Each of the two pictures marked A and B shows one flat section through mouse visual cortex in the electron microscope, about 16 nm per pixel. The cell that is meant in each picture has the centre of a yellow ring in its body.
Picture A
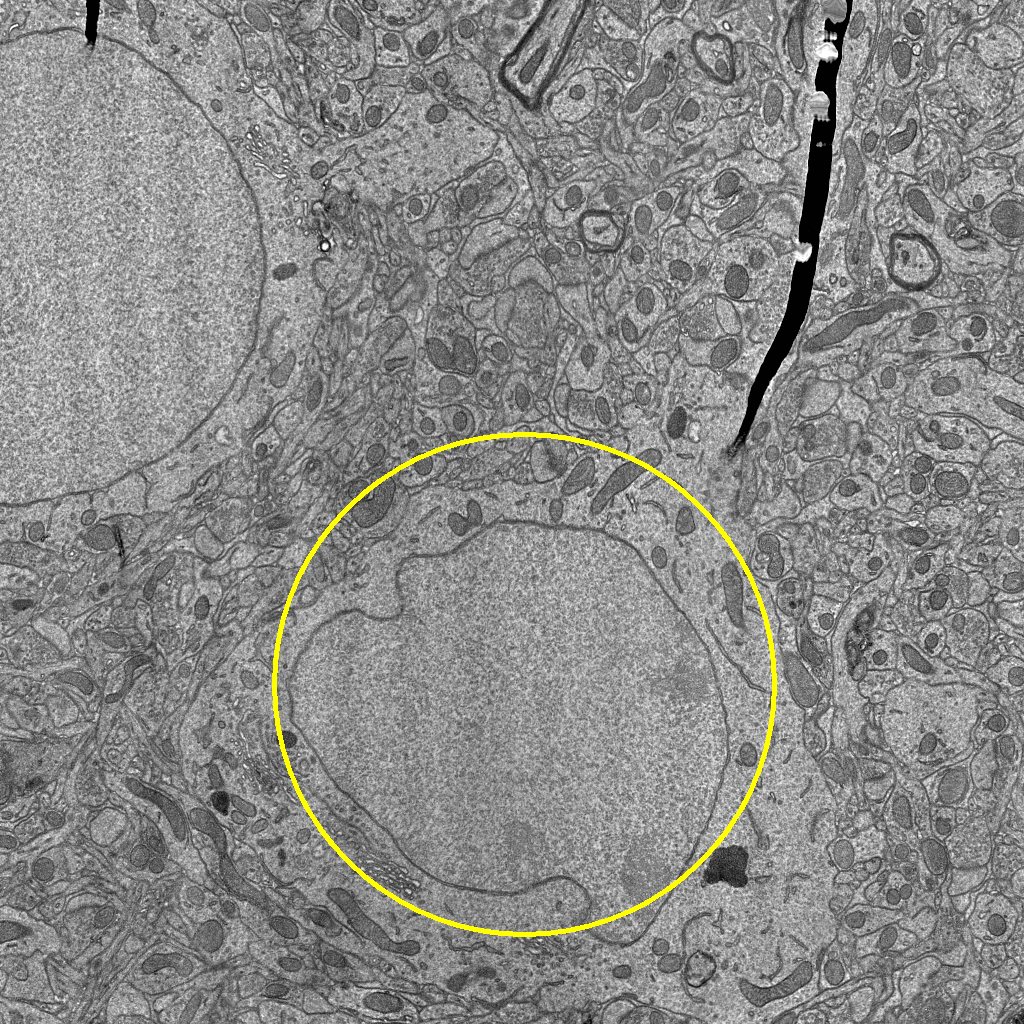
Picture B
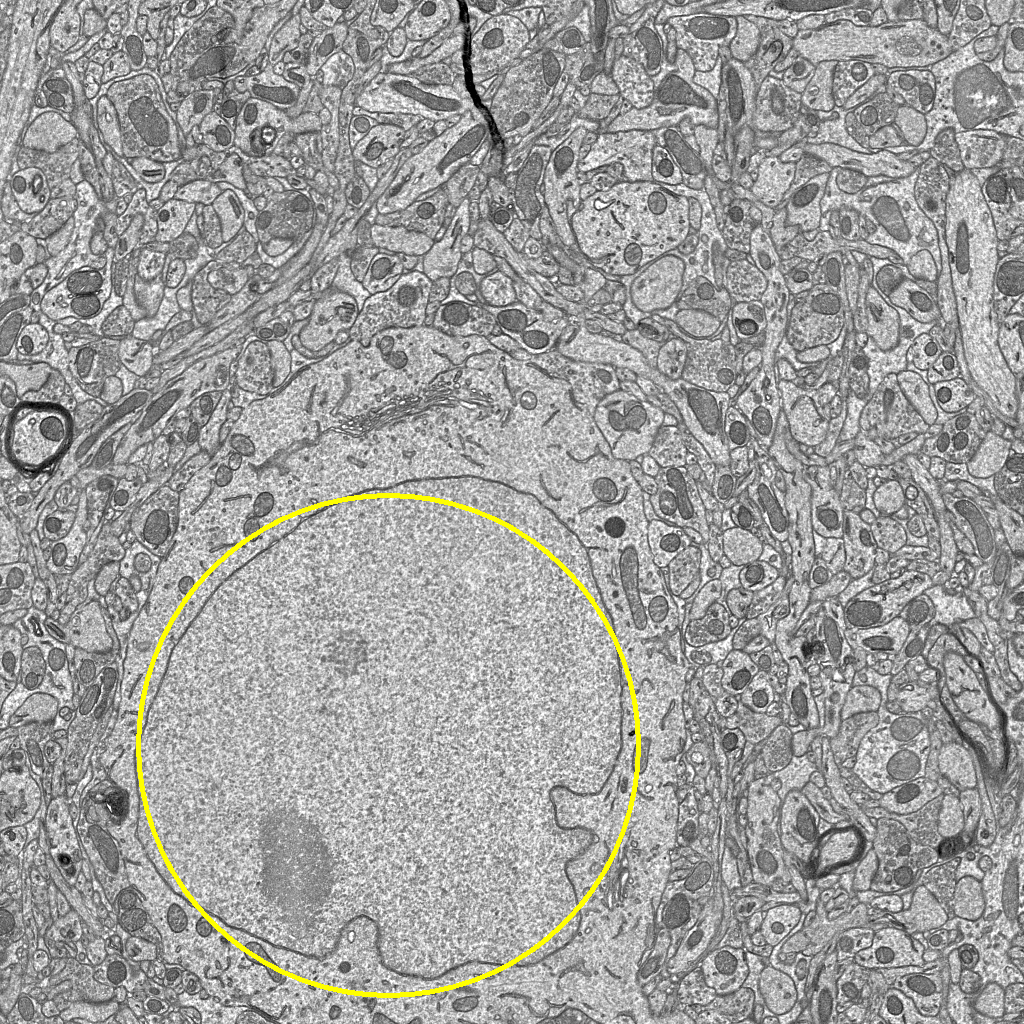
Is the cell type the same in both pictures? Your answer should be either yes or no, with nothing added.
yes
